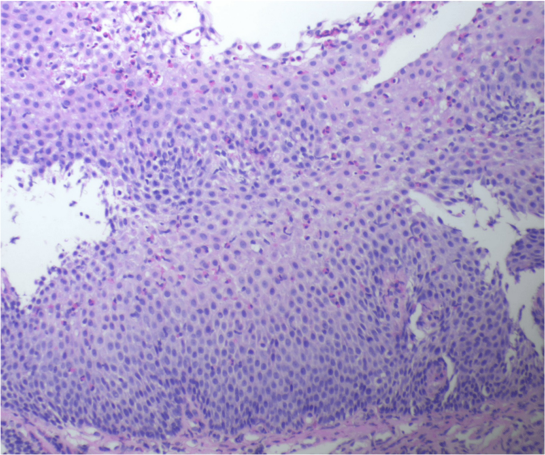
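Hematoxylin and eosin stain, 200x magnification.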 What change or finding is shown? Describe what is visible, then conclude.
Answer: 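Basal zone hyperplasia. A broad band of crowded cells with dark, closely packed nuclei occupies the lower epithelium. The cells with little cytoplasm extend well up from the base of the epithelium.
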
